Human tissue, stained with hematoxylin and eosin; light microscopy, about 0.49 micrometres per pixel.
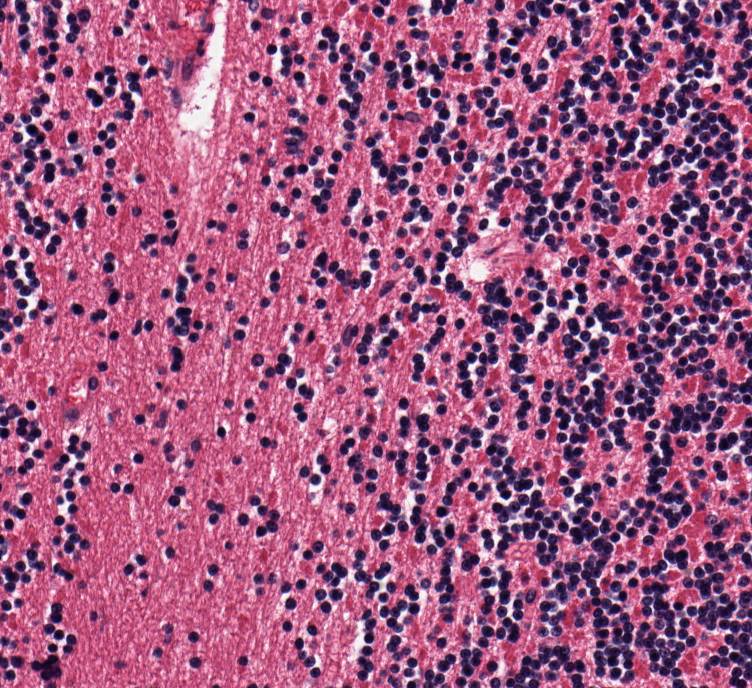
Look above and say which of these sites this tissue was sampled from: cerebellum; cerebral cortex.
cerebellum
